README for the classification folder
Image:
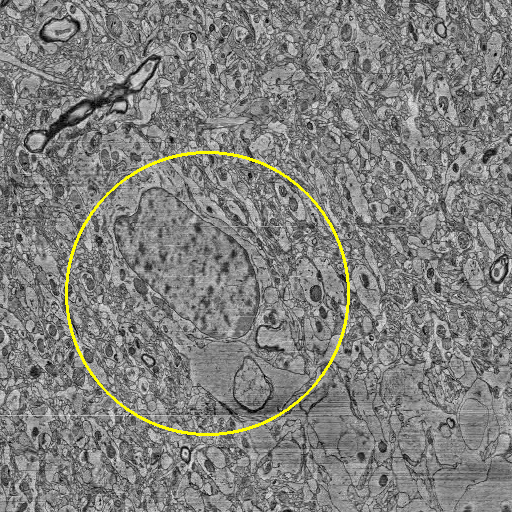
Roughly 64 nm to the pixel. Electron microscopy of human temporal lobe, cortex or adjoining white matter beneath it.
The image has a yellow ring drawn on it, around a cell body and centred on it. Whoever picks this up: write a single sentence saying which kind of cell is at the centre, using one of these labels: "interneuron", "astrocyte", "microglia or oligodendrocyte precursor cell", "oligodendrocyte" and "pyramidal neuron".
This cell body is that of a microglial cell or oligodendrocyte precursor cell.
